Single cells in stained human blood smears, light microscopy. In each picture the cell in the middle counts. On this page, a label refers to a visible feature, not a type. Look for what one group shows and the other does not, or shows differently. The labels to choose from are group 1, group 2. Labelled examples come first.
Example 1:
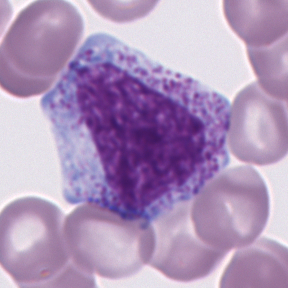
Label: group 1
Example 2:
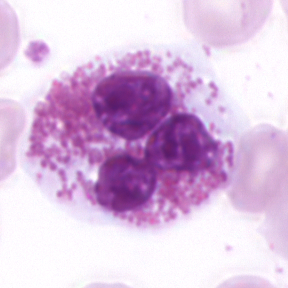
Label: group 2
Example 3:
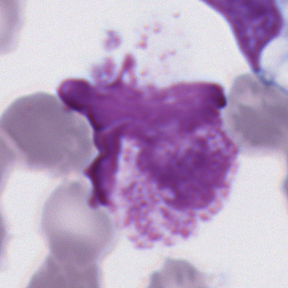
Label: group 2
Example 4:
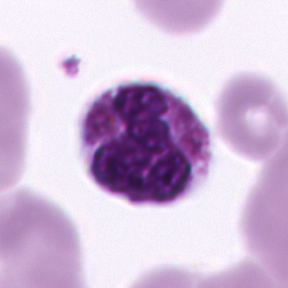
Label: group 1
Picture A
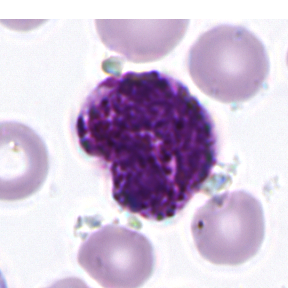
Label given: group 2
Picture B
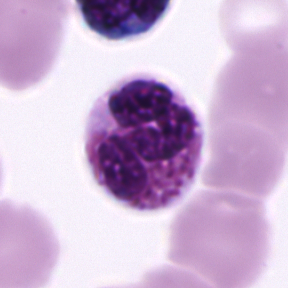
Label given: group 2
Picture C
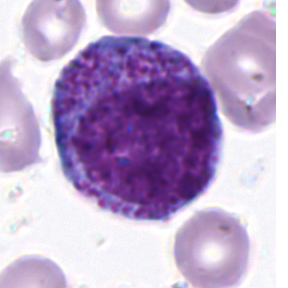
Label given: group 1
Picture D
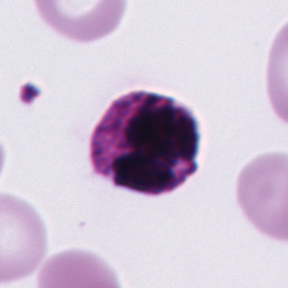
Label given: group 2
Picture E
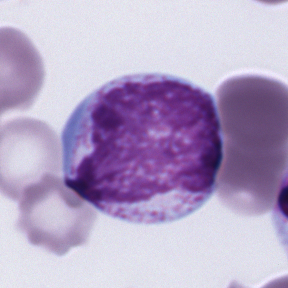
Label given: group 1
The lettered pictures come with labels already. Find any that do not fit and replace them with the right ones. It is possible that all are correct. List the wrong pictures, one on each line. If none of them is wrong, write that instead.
B should be group 1, not group 2
C should be group 2, not group 1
